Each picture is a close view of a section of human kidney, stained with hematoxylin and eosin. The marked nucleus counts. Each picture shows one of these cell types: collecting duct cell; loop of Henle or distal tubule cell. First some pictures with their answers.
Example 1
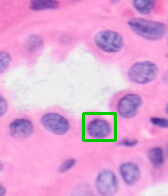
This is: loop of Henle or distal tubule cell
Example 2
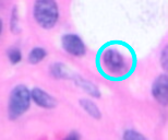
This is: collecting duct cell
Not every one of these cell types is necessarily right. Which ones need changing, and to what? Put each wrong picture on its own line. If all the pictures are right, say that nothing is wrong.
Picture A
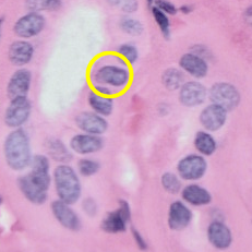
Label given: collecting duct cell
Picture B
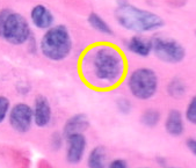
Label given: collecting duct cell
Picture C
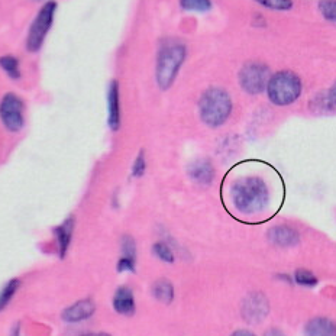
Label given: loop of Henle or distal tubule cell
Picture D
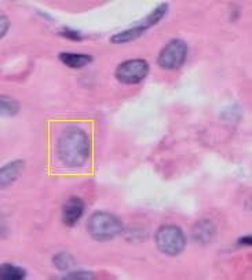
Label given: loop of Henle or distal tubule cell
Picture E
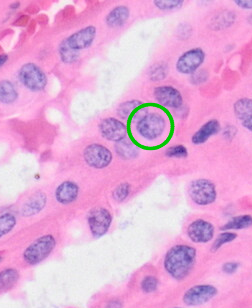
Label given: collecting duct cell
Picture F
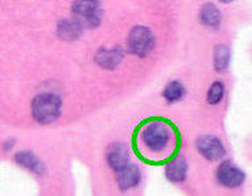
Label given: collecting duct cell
Every label is right.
